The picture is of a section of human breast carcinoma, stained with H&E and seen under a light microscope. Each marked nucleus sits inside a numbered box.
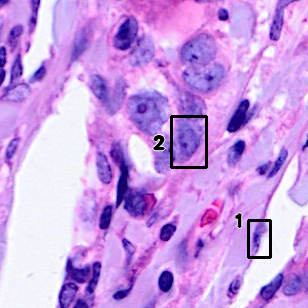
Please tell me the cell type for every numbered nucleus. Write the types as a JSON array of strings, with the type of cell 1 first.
["fibroblast", "carcinoma cell"]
